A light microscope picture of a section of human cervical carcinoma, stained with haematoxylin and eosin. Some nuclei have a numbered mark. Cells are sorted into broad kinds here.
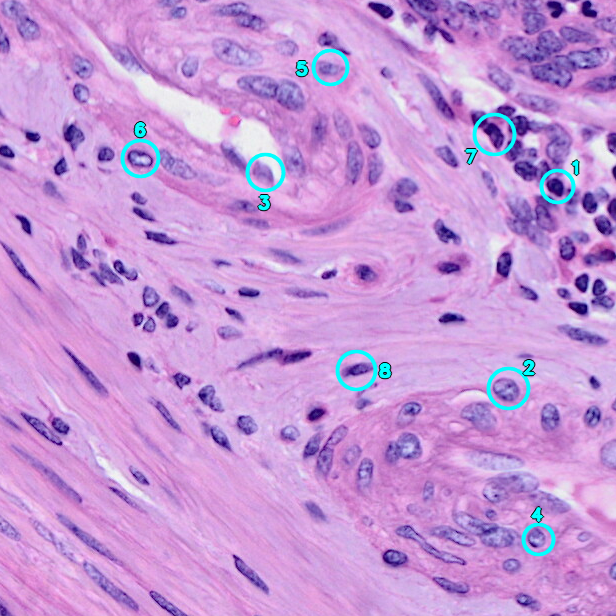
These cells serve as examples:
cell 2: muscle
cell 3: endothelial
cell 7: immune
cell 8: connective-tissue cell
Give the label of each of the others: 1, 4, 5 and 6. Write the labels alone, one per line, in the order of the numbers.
immune
muscle
muscle
muscle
